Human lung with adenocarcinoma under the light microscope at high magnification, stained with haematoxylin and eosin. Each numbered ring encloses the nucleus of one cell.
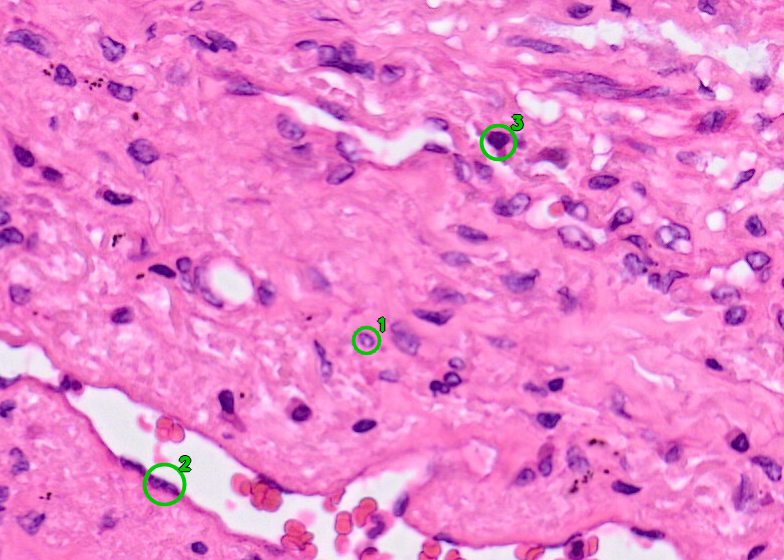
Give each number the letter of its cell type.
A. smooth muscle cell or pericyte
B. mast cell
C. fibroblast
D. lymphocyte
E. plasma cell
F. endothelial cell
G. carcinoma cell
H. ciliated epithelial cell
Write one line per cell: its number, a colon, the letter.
1: B
2: F
3: E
